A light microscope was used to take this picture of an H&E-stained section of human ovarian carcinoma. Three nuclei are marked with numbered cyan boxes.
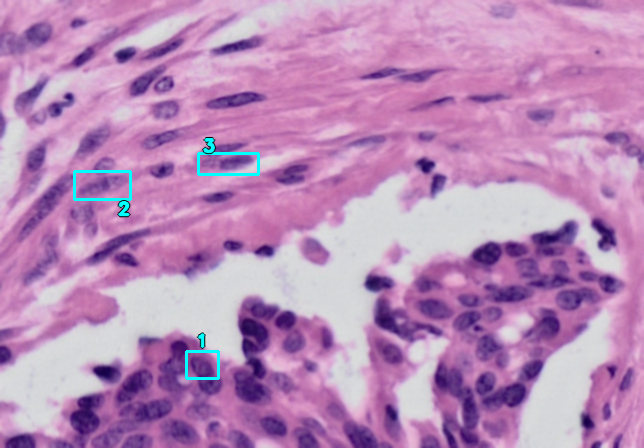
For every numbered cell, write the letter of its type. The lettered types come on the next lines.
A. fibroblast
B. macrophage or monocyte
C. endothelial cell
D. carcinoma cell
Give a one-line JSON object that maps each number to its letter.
{"1": "D", "2": "A", "3": "A"}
